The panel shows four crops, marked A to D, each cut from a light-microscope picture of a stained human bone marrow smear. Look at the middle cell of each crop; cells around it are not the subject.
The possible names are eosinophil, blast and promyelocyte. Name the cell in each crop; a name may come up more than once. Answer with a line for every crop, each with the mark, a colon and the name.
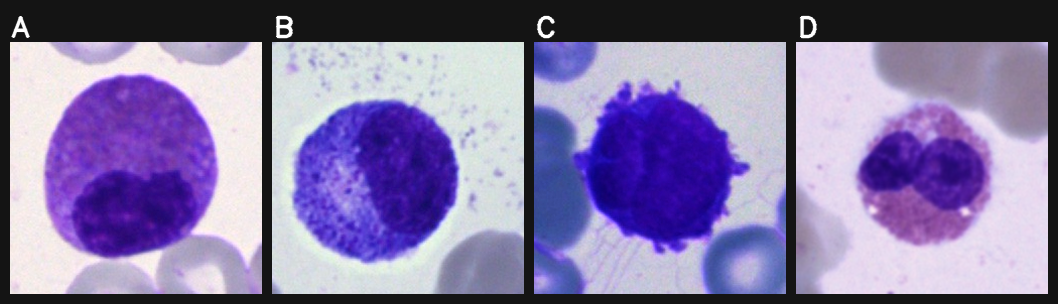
A: eosinophil
B: promyelocyte
C: blast
D: eosinophil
